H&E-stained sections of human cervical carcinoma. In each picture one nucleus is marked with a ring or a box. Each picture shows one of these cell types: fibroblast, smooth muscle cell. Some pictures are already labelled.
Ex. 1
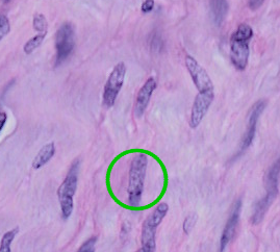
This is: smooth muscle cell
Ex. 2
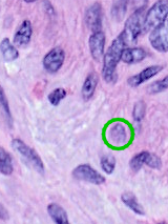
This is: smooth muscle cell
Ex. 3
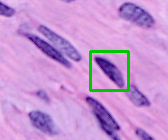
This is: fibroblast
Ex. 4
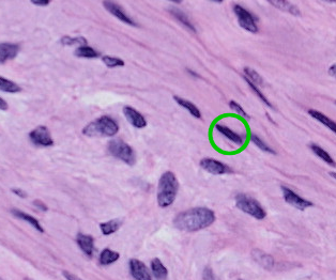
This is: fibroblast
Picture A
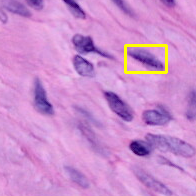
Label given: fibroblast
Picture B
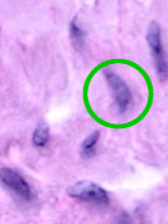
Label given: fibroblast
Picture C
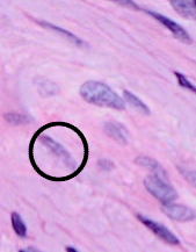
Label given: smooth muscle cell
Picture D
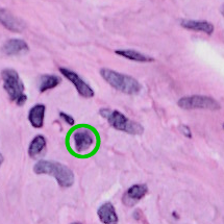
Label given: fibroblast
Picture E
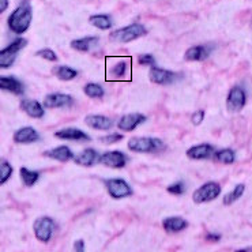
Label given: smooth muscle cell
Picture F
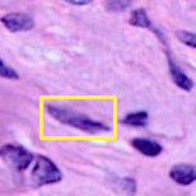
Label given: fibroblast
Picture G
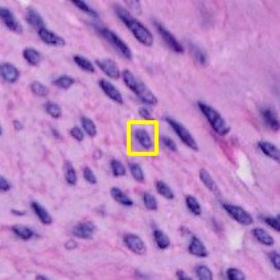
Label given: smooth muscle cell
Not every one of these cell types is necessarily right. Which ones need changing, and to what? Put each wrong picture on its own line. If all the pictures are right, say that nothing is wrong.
None of the labels needs changing.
